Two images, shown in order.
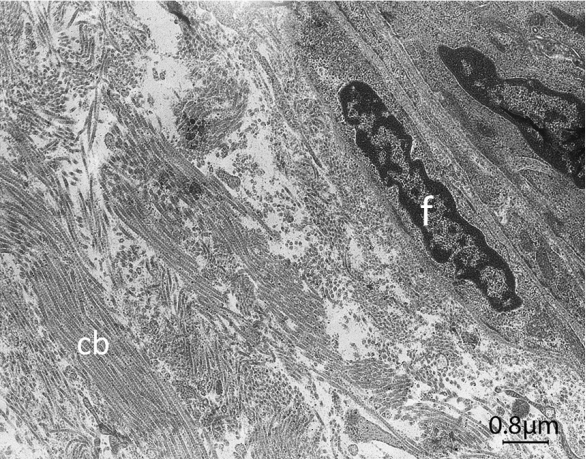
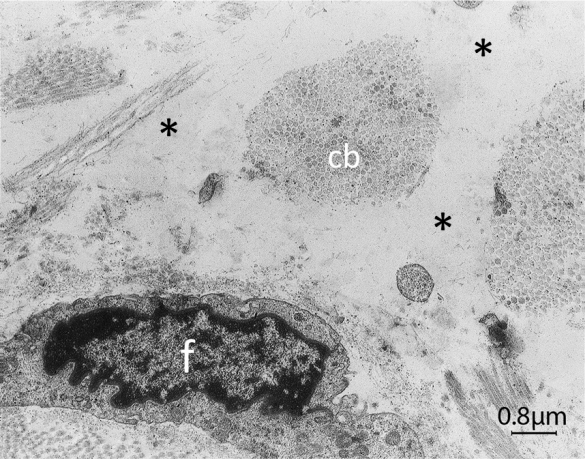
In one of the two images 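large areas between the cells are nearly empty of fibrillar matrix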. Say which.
the second image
